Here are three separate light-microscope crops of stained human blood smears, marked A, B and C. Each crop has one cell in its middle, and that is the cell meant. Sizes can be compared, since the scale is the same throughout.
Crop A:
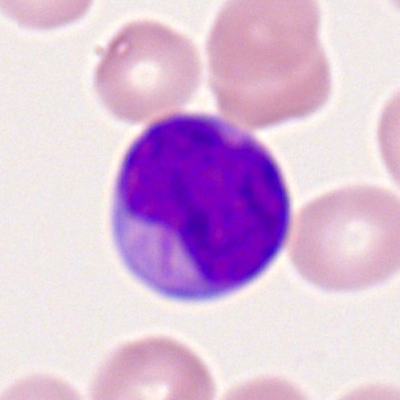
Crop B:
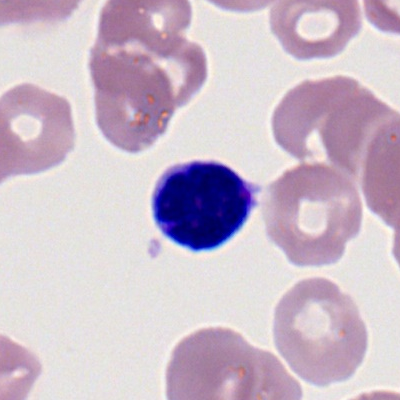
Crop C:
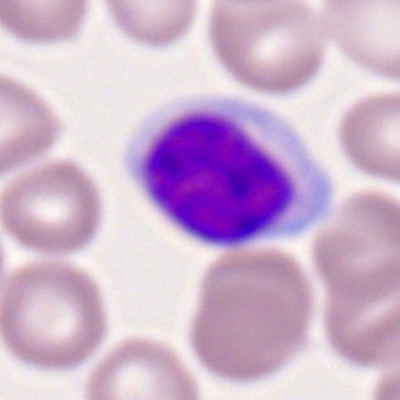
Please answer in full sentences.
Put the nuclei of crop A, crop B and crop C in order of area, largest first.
Largest first: A, C, B.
